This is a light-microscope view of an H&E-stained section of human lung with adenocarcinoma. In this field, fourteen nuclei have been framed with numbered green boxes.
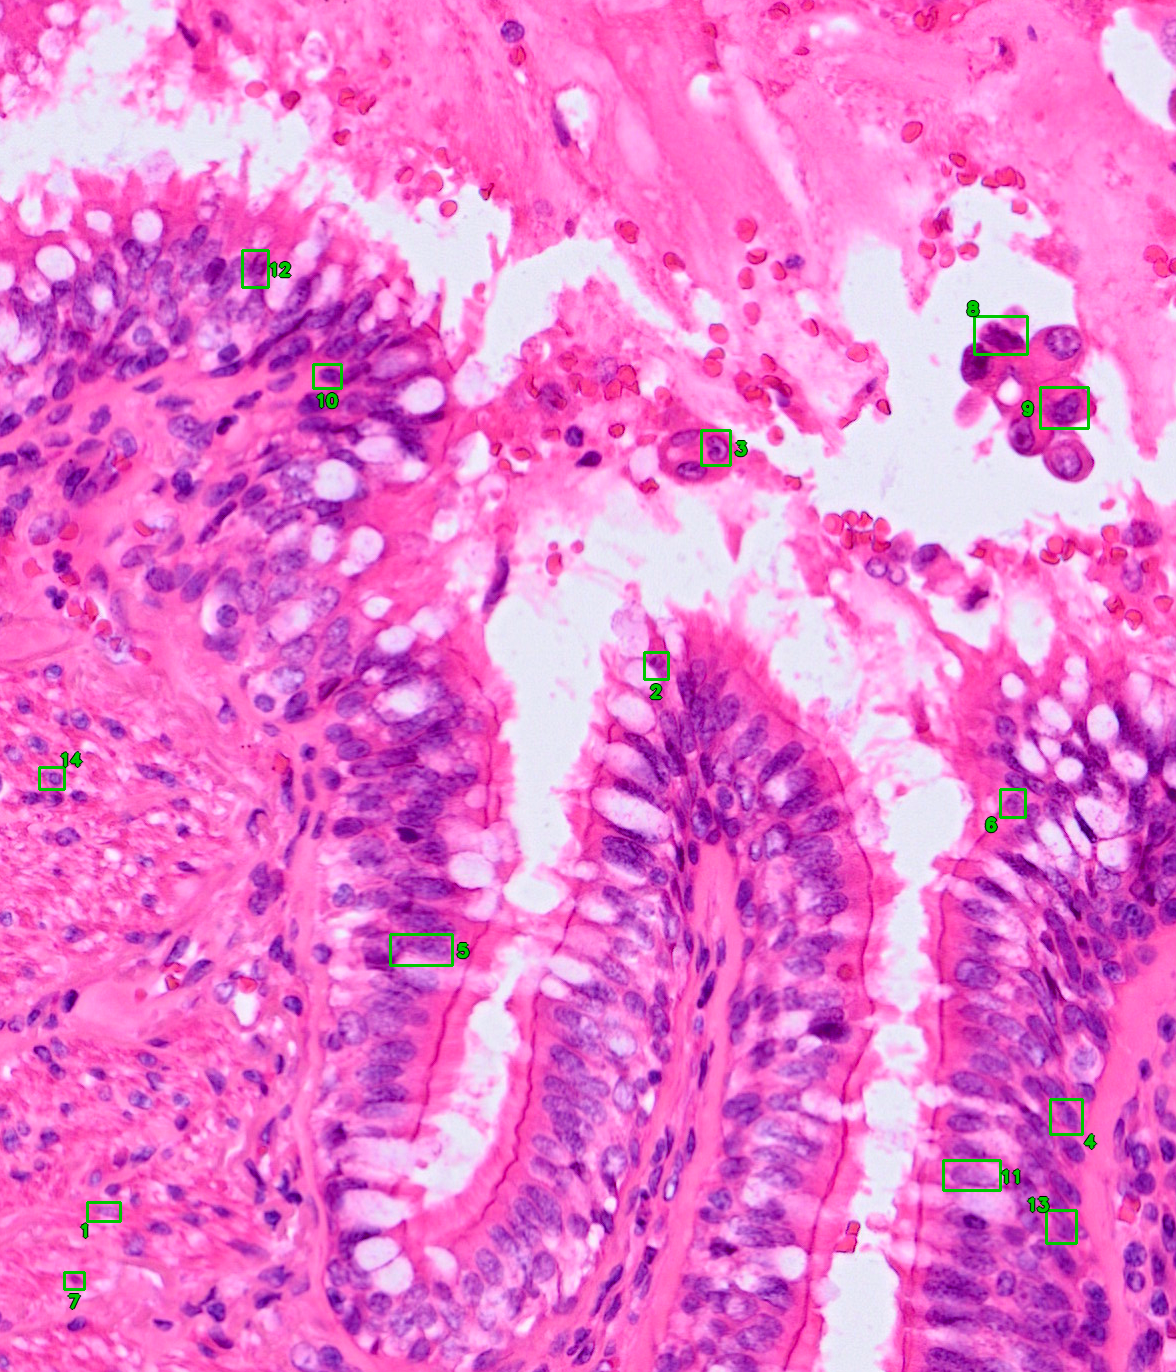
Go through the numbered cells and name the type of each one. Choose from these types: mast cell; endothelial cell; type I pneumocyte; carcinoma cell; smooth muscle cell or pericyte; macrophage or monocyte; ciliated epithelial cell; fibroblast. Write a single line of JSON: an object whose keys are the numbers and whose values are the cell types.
{"1": "smooth muscle cell or pericyte", "2": "ciliated epithelial cell", "3": "macrophage or monocyte", "4": "ciliated epithelial cell", "5": "ciliated epithelial cell", "6": "ciliated epithelial cell", "7": "smooth muscle cell or pericyte", "8": "carcinoma cell", "9": "carcinoma cell", "10": "ciliated epithelial cell", "11": "ciliated epithelial cell", "12": "ciliated epithelial cell", "13": "ciliated epithelial cell", "14": "smooth muscle cell or pericyte"}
